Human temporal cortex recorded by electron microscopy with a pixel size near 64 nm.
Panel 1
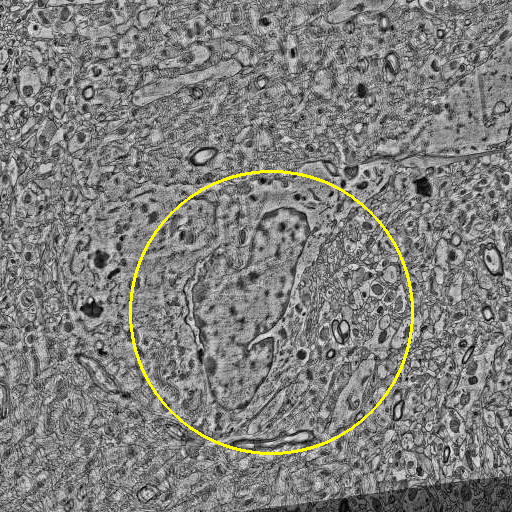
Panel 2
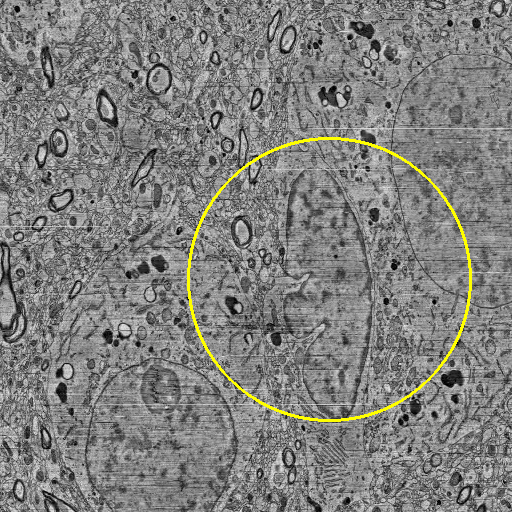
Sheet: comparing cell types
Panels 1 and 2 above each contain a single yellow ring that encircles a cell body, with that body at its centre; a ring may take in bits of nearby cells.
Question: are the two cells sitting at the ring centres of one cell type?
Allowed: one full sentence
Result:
Yes, the ring-centre cells in Panel 1 and Panel 2 are of one type.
